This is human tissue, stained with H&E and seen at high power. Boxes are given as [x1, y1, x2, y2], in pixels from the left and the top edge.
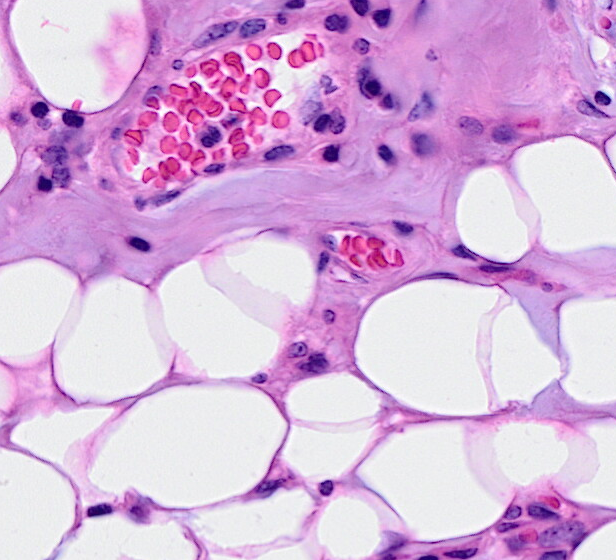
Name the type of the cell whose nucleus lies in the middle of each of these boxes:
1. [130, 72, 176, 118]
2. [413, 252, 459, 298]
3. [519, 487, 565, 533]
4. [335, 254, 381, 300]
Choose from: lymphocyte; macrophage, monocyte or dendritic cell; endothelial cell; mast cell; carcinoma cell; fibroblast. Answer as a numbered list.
1. endothelial cell
2. fibroblast
3. endothelial cell
4. endothelial cell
